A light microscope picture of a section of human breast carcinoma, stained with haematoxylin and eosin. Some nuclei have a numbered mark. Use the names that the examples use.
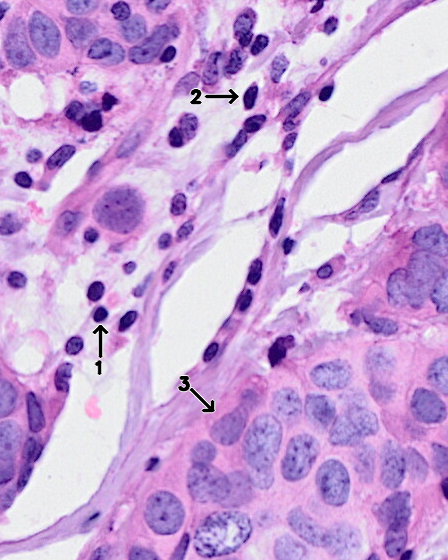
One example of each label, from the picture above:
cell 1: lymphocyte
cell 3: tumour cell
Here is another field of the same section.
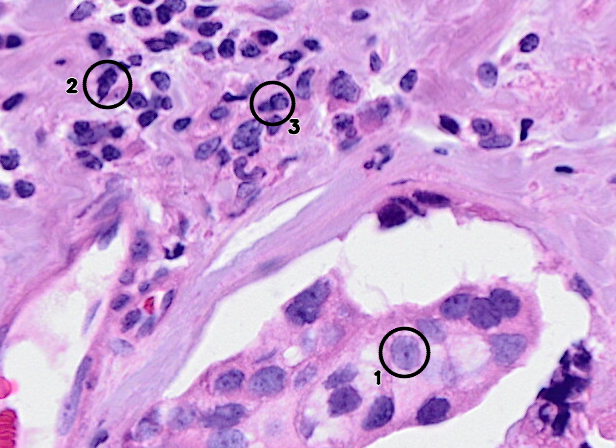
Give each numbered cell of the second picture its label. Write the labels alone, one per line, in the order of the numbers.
tumour cell
lymphocyte
lymphocyte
